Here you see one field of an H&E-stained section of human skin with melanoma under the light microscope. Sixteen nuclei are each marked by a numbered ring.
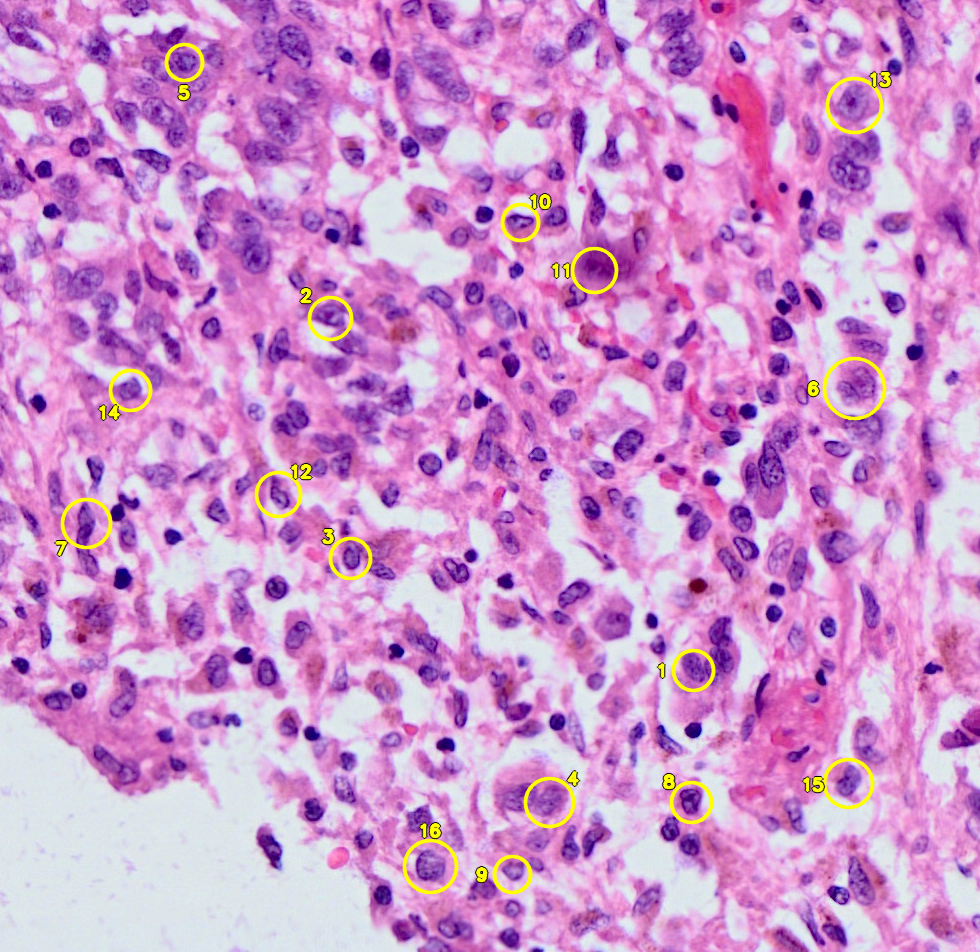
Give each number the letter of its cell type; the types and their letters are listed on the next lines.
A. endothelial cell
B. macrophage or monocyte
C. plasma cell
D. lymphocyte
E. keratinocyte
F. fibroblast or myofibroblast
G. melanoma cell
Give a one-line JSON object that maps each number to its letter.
{"1": "G", "2": "G", "3": "B", "4": "G", "5": "G", "6": "G", "7": "B", "8": "B", "9": "B", "10": "B", "11": "G", "12": "B", "13": "G", "14": "G", "15": "B", "16": "G"}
